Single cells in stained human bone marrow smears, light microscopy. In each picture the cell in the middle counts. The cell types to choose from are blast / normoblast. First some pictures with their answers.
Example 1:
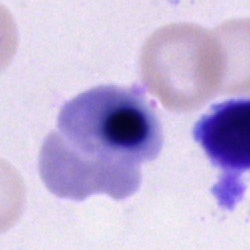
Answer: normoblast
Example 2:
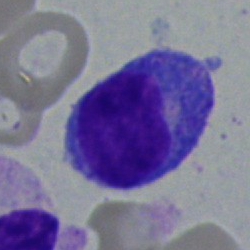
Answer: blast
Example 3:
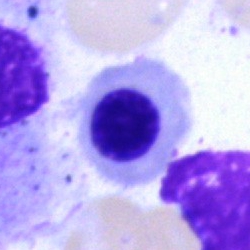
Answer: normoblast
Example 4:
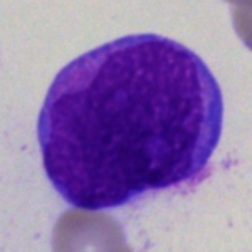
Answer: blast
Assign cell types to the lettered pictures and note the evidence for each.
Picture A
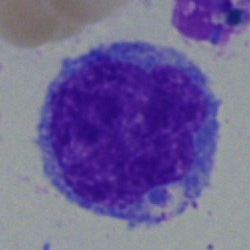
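Answer: blast. The chromatin is finely stippled with small paler patches rather than packed into coarse dark blocks.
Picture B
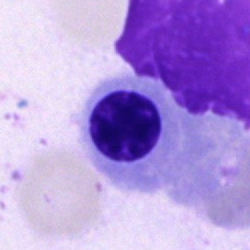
Answer: normoblast. The chromatin is dark purple and coarsely clumped.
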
